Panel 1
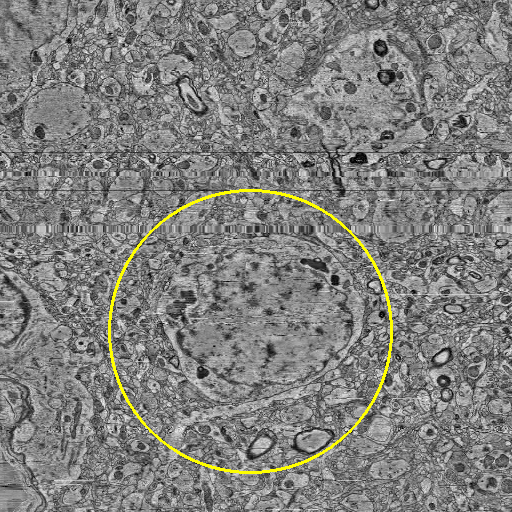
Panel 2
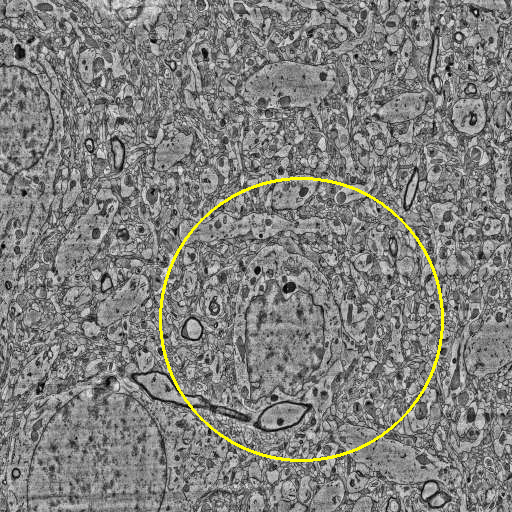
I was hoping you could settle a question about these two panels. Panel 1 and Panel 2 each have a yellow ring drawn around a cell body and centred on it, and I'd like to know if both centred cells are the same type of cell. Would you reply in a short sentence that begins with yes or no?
Yes, both are the same type of cell.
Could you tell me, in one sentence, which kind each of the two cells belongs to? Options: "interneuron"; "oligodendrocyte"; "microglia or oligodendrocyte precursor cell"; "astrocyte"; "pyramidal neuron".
Each of the two rings surrounds an interneuron.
